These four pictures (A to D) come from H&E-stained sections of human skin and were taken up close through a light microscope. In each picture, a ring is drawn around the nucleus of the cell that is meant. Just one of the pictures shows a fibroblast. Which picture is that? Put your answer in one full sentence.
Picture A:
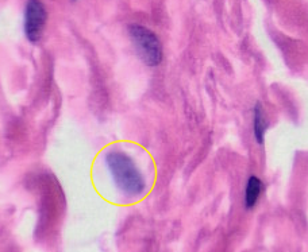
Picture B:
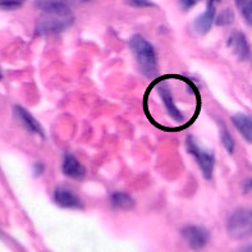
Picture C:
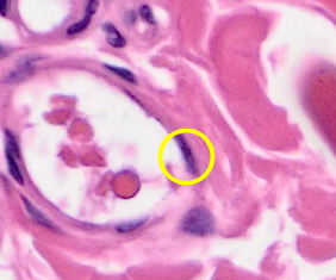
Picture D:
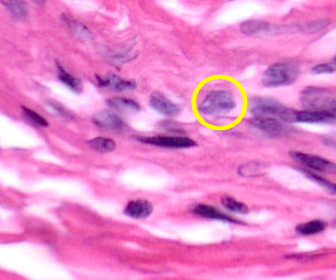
The picture with the fibroblast is A.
